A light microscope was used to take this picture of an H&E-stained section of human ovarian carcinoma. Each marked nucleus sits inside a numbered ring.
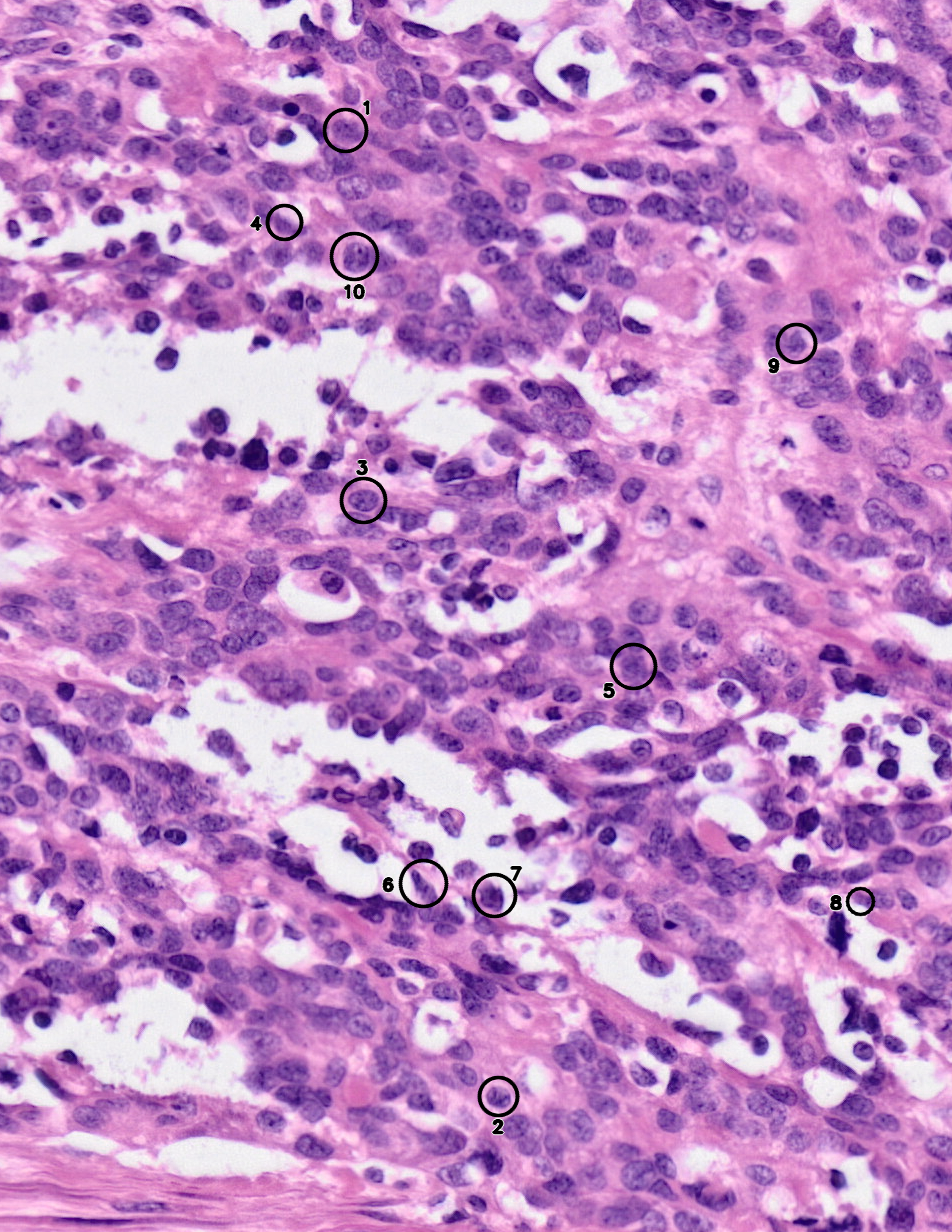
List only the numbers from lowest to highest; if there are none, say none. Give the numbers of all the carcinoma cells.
1, 4, 5, 7, 8, 9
